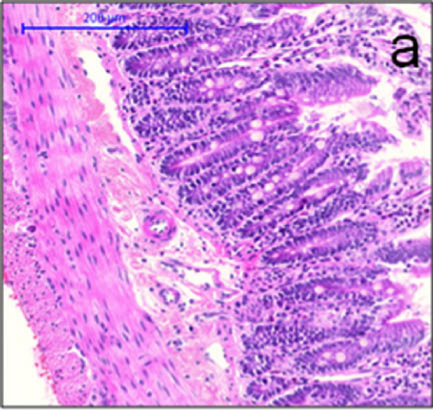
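A section of colon wall shows a thick mucosa of long, straight, closely packed glands standing side by side, lined by columnar epithelium with many pale goblet cells and purple nuclei along their bases. Between the glands lies a cellular lamina propria, and to the left the mucosa rests on pink, layered smooth muscle of the muscular wall with small vessels between.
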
